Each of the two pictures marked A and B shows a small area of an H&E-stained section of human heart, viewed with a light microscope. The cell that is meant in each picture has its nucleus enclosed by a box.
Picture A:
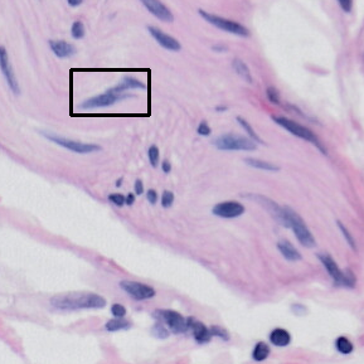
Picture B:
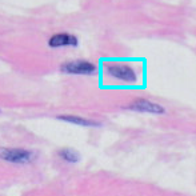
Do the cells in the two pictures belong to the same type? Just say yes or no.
yes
